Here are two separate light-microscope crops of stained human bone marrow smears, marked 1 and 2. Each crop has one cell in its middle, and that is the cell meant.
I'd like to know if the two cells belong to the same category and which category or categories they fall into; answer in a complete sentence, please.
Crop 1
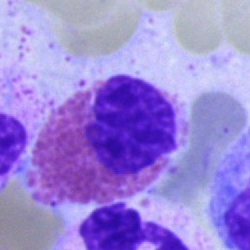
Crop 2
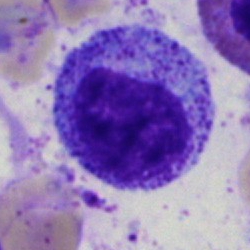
No, crop 1 and crop 2 show an eosinophil and a promyelocyte respectively.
